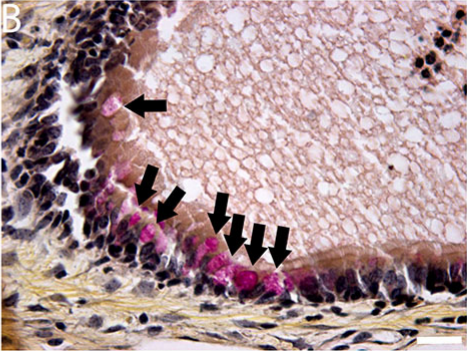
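The lining is thick and multilayered, with crowded oval dark nuclei and cells with brownish cytoplasm. Along the surface facing the cavity, many rounded cells are filled with magenta-stained material and lie close together in a row. The cavity beside the lining is filled with pale pink, finely reticulated material with small clear spaces. Beneath the lining lies loose connective tissue with yellowish fibres and scattered elongated dark nuclei.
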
